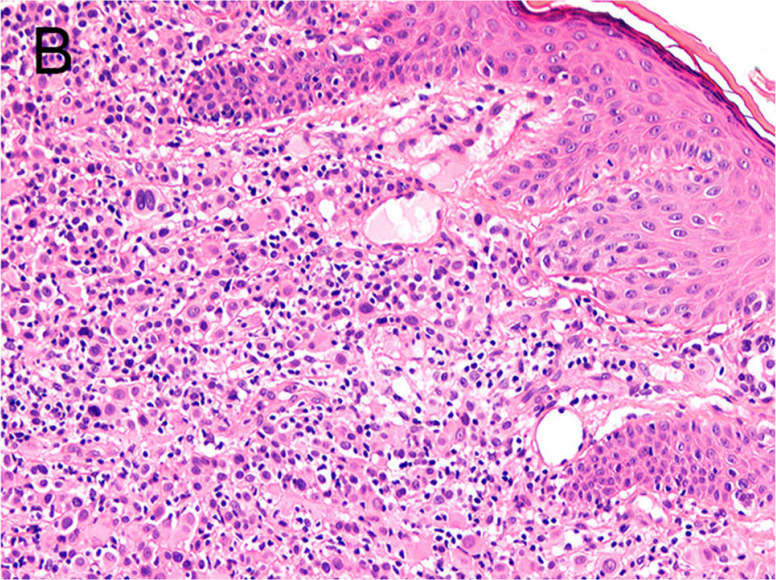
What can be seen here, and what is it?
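This is skin, with the squamous epidermis along the top right and its downgrowths reaching into a densely cellular dermis. The dermis is crowded with loosely arranged, large epithelioid cells: polygonal, with plentiful pink cytoplasm and enlarged, sometimes irregular nuclei, several showing distinct nucleoli. These are atypical cells. Mixed among them are many small round cells with dark, compact nuclei and little cytoplasm, which are lymphocytes.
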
